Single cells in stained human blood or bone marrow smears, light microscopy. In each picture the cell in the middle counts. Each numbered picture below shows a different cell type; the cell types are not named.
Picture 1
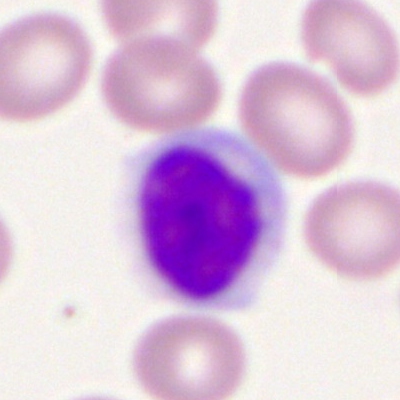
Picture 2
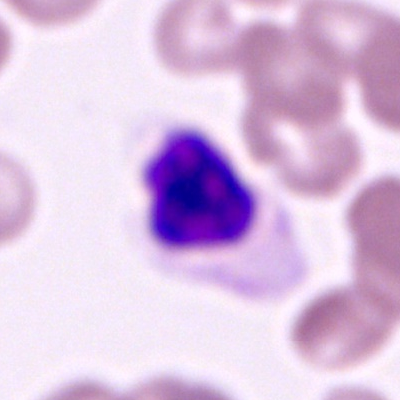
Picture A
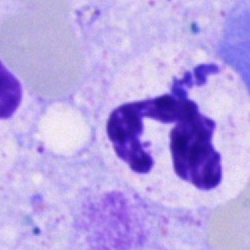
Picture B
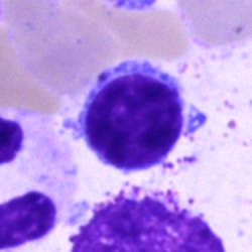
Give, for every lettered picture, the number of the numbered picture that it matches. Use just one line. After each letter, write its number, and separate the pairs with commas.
A 2, B 1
